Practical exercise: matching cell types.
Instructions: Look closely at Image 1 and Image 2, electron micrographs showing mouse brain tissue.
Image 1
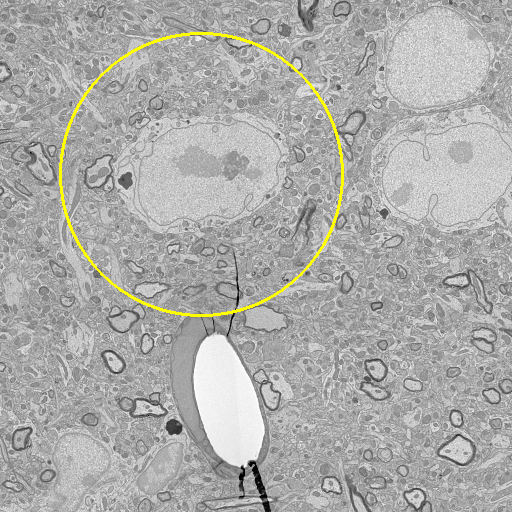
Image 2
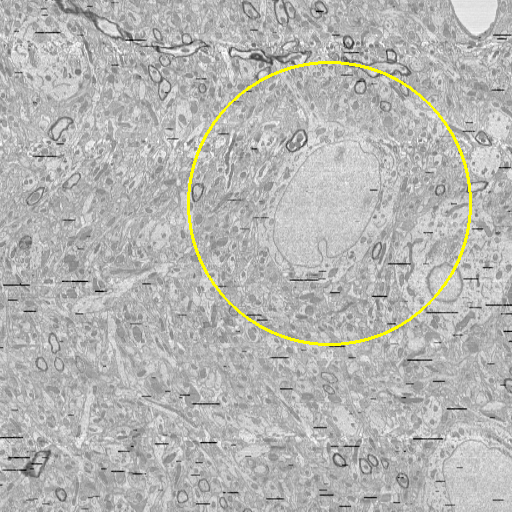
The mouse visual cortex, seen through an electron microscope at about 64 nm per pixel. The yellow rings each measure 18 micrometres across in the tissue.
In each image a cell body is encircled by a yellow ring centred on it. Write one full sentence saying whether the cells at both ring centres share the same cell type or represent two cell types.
Across Image 1 and Image 2, the cells at the ring centres represent two cell types.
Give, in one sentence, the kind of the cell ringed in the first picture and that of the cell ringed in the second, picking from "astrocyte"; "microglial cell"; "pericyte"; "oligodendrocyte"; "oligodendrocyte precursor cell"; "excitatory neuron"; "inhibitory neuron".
For the first picture it is an inhibitory neuron; for the second, an excitatory neuron.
